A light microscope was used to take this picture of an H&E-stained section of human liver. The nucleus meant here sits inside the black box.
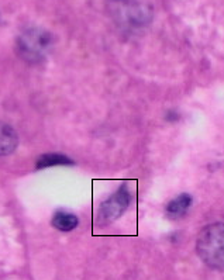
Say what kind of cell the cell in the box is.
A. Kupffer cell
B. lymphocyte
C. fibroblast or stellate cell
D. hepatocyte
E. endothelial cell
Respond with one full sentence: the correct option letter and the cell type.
It is correct to say that the cell in the box is a Kupffer cell, as option A does.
